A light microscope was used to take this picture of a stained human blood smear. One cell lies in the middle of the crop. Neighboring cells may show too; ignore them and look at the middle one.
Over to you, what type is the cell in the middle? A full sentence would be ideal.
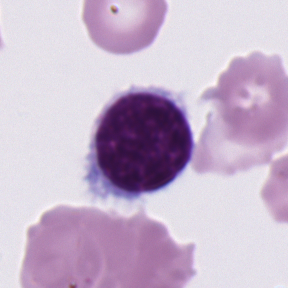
The cell marked by its central position in the crop is a hairy cell.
